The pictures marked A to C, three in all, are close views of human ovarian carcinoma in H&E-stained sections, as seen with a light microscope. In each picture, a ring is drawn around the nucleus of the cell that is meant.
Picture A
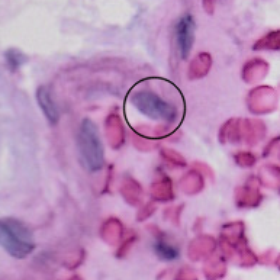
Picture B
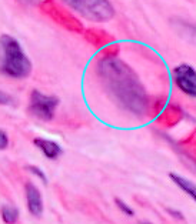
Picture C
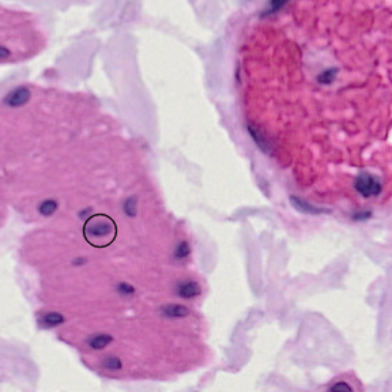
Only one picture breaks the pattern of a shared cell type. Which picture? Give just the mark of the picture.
C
